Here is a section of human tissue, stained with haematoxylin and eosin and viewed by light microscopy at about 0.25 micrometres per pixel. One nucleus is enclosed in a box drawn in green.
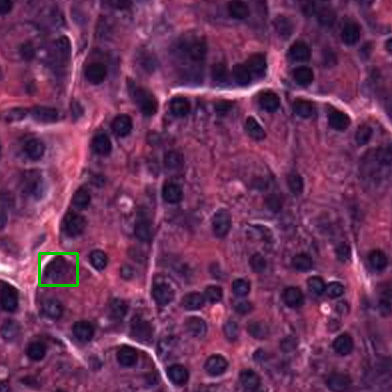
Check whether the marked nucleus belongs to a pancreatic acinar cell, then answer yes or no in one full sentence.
Yes, in this image it is a pancreatic acinar cell that contains the marked nucleus.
